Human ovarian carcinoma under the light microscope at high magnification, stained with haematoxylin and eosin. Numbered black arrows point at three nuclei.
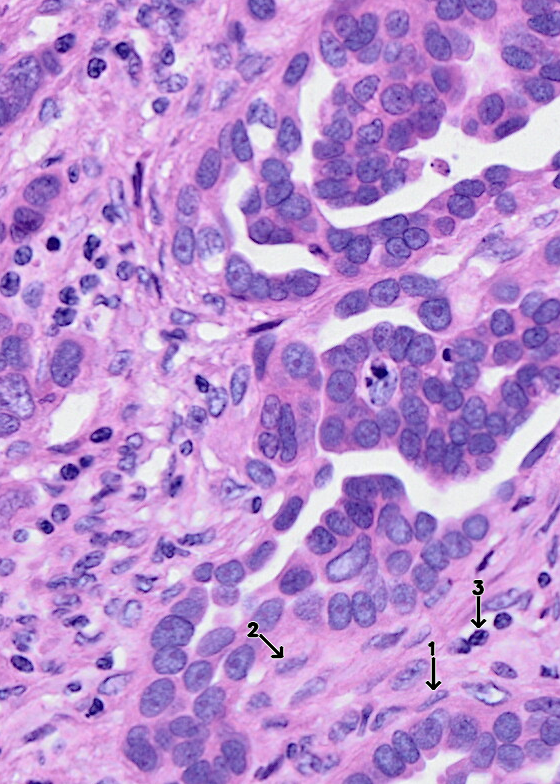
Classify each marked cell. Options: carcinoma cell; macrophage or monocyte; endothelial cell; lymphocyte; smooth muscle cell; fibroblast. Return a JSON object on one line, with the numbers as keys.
{"1": "fibroblast", "2": "fibroblast", "3": "lymphocyte"}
